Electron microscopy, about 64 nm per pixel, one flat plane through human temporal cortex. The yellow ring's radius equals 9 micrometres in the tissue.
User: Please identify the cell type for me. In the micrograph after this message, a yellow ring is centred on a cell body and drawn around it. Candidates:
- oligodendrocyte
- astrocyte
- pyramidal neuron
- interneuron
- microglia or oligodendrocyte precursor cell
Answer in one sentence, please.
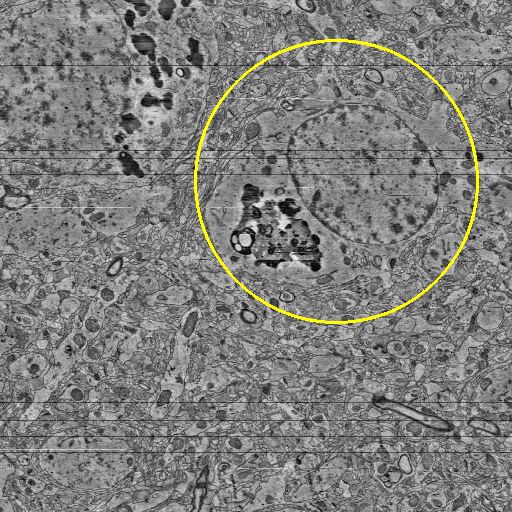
The ring is drawn around the cell body of an astrocyte.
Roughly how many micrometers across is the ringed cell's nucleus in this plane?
Roughly 10 by 9 micrometres is the size of the nucleus in this plane.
